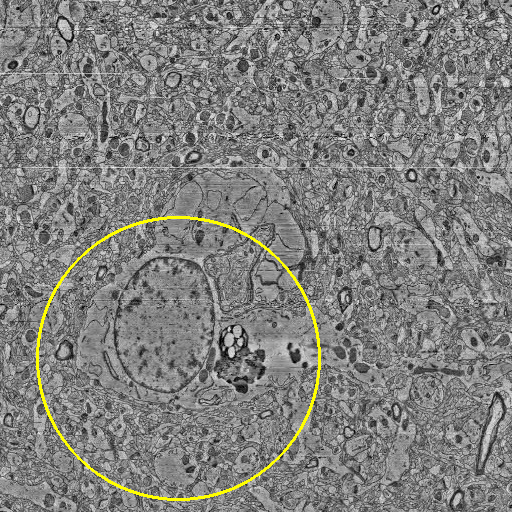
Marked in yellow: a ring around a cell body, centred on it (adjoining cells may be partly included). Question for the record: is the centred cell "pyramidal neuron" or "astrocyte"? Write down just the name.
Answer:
astrocyte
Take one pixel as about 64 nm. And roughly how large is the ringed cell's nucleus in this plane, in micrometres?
Roughly 9 by 6 micrometres is the size of the nucleus in this plane.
